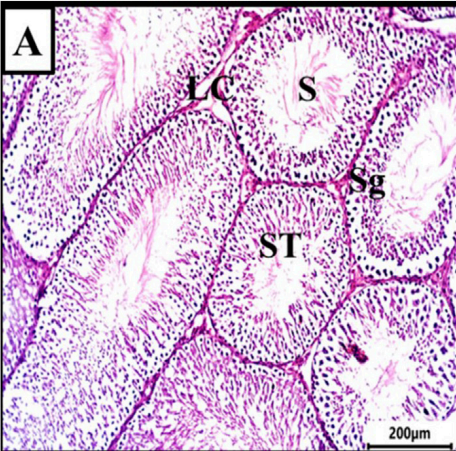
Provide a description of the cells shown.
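Closely packed seminiferous tubules of the testis are lined by a stratified germinal epithelium of spermatogenic cells, with rows of purple nuclei stacked from the basal wall toward the lumen. The lumina contain pale pink threads of sperm, and the narrow pink spaces between the tubules hold small groups of interstitial cells.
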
